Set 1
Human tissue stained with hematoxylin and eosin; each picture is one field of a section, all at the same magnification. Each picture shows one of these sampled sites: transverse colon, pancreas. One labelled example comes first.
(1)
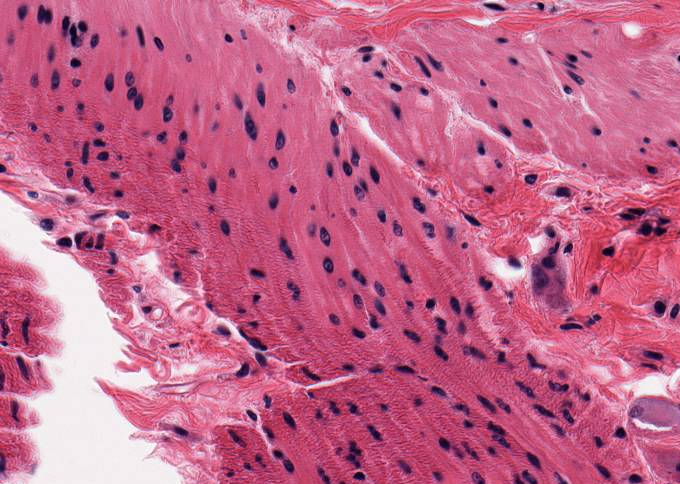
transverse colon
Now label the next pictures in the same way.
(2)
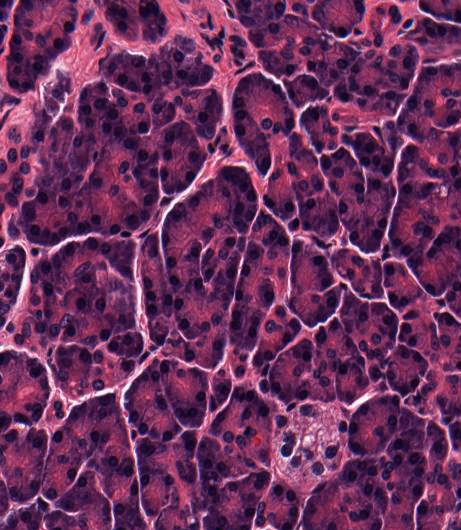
pancreas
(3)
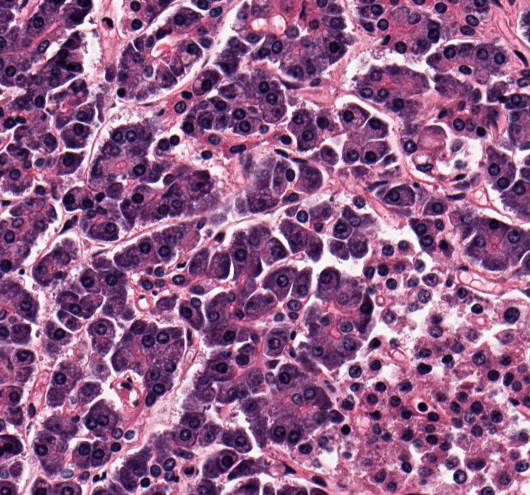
pancreas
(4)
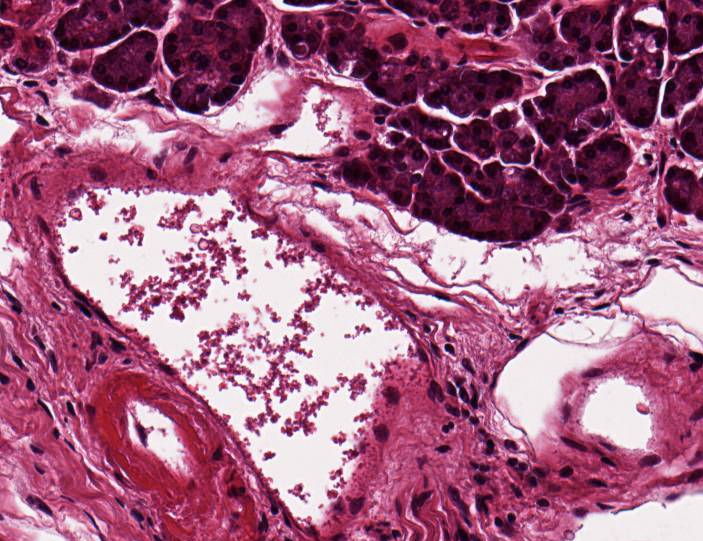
pancreas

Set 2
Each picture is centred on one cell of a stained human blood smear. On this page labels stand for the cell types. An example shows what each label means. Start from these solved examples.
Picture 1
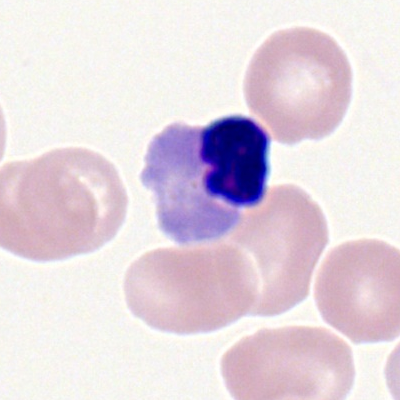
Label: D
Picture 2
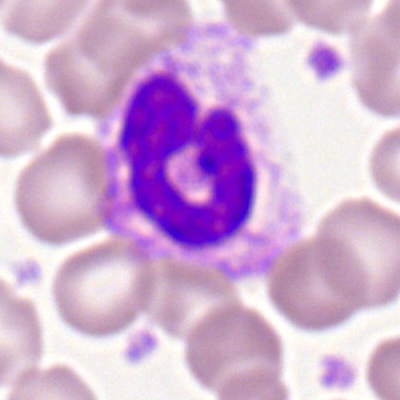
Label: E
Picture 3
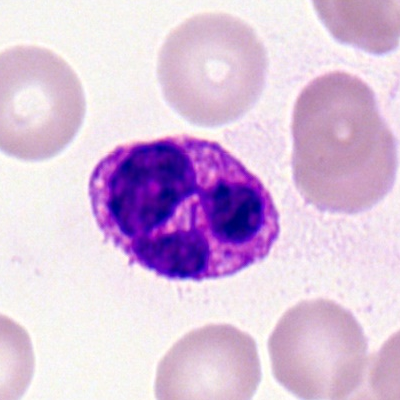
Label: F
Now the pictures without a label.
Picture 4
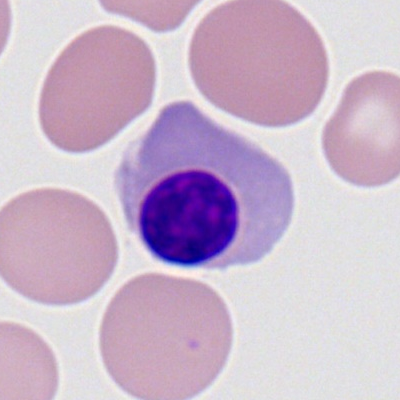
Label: D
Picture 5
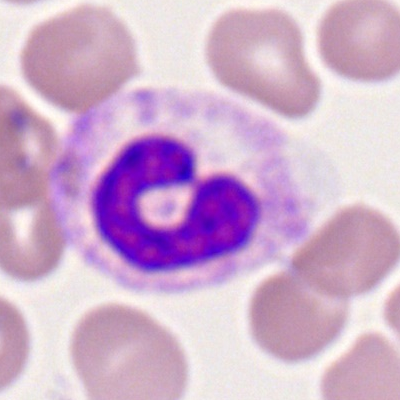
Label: E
